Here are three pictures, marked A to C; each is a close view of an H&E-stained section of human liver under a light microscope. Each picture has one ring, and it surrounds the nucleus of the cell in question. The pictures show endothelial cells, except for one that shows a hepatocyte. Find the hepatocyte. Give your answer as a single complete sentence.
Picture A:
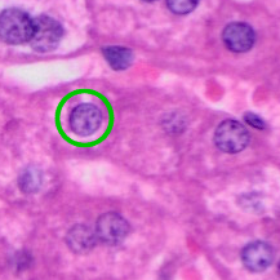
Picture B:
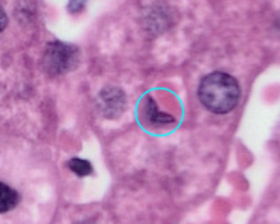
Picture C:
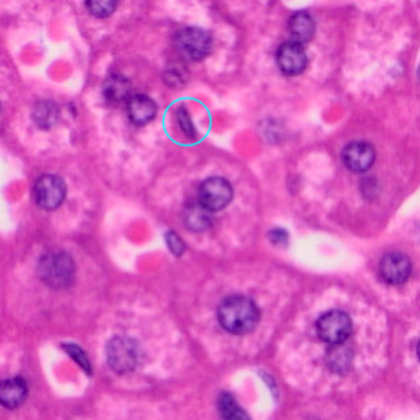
It is picture A that shows the hepatocyte.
